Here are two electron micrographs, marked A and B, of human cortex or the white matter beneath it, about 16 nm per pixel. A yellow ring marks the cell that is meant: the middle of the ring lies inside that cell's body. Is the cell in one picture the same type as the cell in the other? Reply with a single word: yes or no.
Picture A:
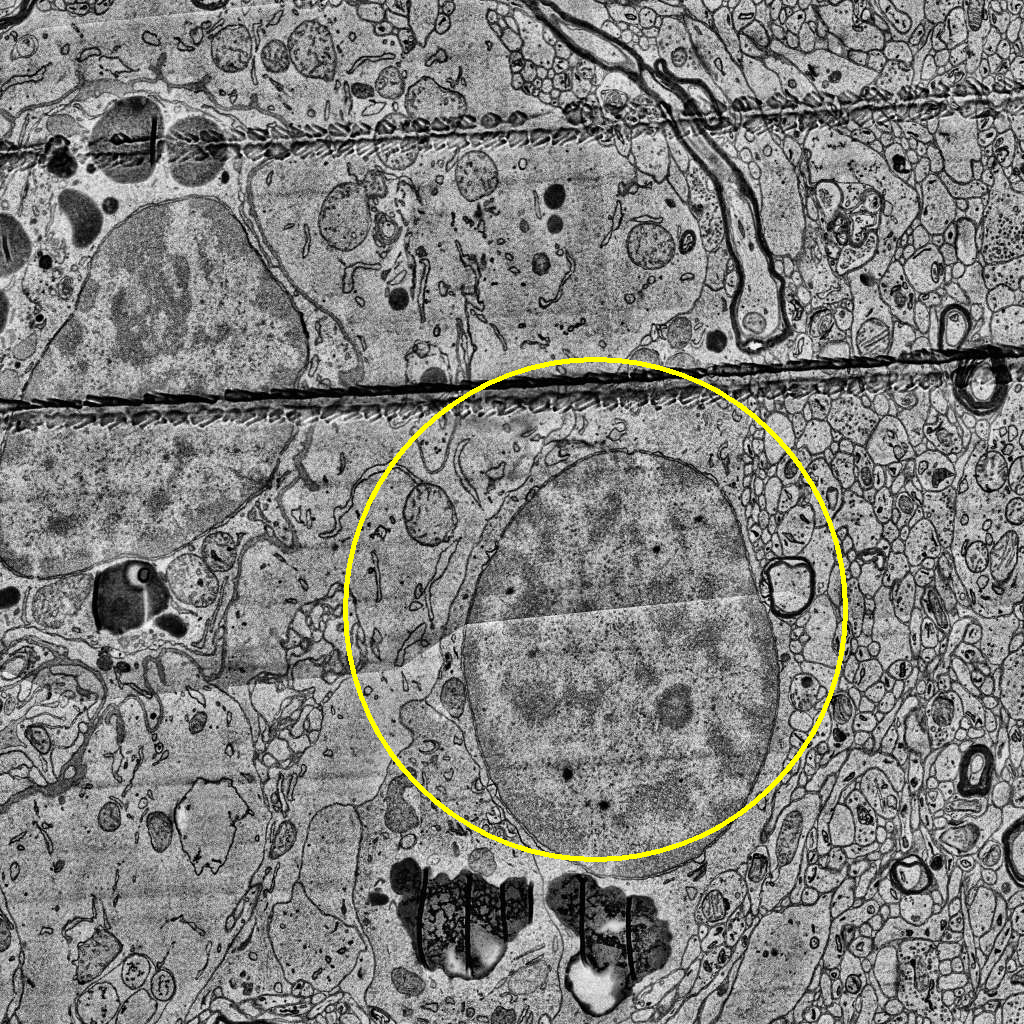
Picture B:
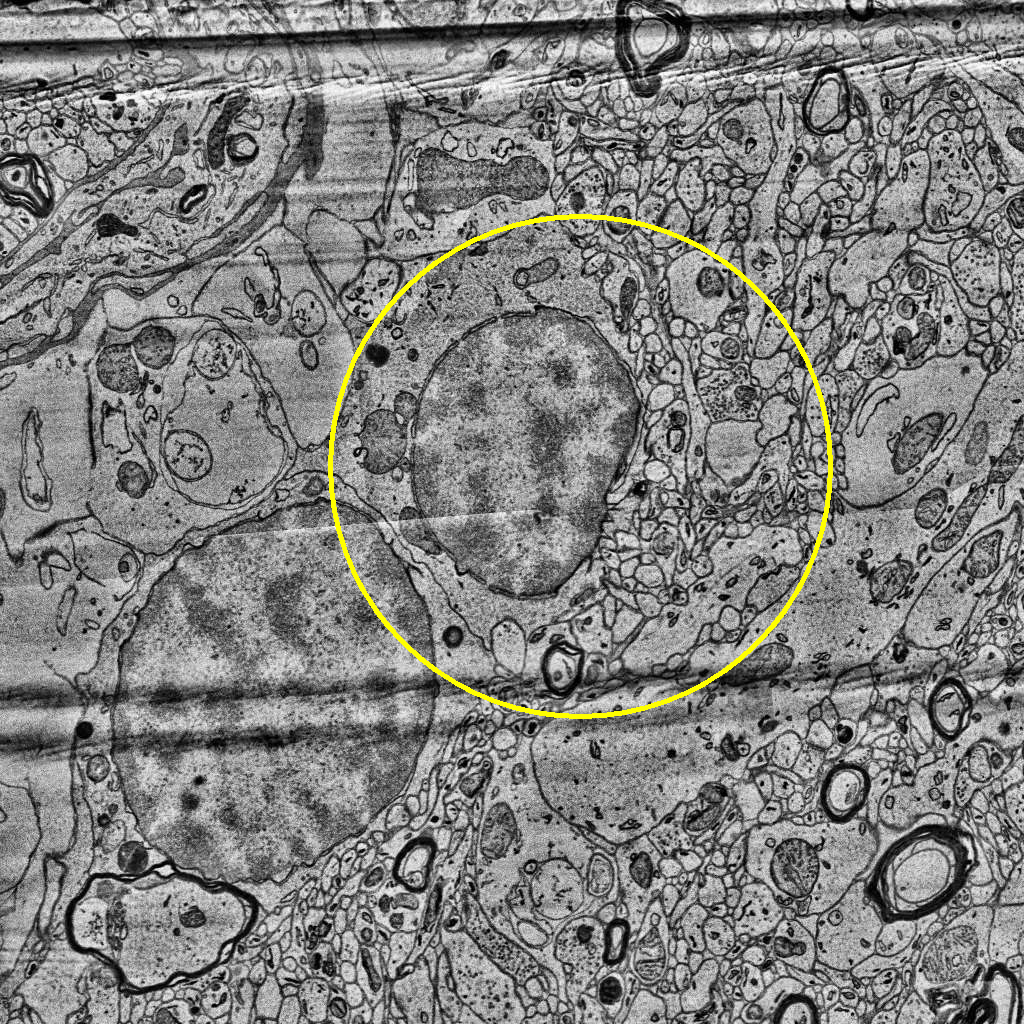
yes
